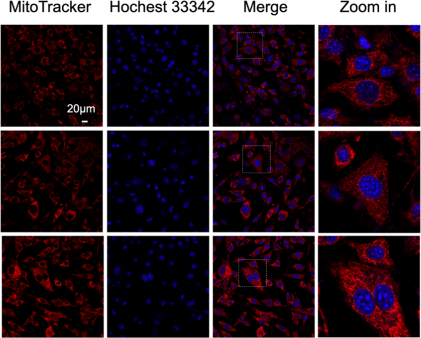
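This is a grid of fluorescence images of cultured cells, with the red stain spread through their cytoplasm and round to oval blue nuclei. The cells are flattened and irregular or polygonal in outline, and they are scattered across the field with gaps between them. The red signal is fine, granular to thread-like and forms a network that is densest close to the nucleus and fades toward the cell edges. In the enlarged views on the right, single cells show the red network wrapped around a central blue nucleus. Some cells in the lowest row look larger and have a brighter, denser red network than those in the upper rows.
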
